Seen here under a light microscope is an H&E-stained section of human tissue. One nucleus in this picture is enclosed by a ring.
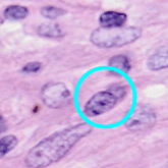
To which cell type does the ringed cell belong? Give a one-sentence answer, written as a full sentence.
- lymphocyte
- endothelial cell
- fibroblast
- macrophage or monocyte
In this section of tissue, the ringed cell is a macrophage or monocyte.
